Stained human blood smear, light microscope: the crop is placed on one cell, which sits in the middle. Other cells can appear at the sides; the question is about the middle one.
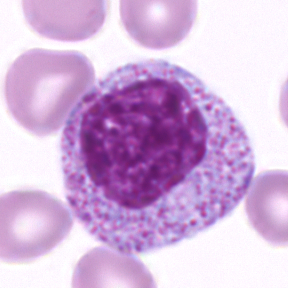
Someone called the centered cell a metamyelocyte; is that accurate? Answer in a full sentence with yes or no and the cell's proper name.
No, the central cell is reported as a myelocyte rather than as a metamyelocyte.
